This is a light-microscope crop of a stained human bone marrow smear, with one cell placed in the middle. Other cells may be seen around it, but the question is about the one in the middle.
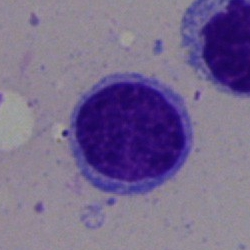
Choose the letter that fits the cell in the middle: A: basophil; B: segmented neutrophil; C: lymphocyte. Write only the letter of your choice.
C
